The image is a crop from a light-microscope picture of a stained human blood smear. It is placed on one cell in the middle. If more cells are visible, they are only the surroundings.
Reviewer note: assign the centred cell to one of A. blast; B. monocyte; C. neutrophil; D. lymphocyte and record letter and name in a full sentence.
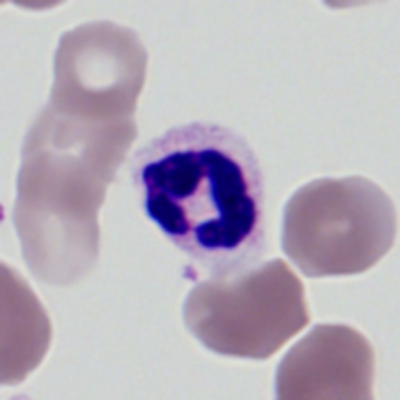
Since the cell in the centre is a neutrophil, the correct option is C.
